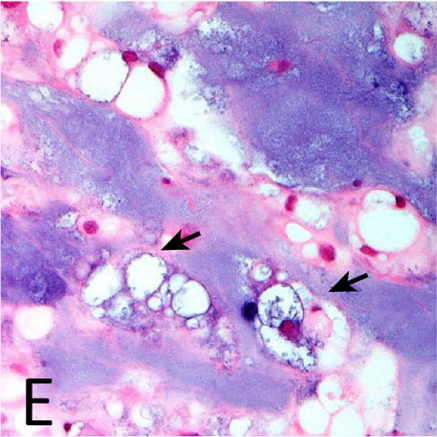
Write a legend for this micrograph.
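This is a chordoma at high power, showing tumor cells lying in a blue-purple myxoid stroma. Several cells have abundant cytoplasm stuffed with many clear bubbles of different sizes, giving a soapy, bubbly look; these are physaliphorous cells. Pink cytoplasmic strands of other tumor cells run between the broad bands of pale blue matrix.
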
